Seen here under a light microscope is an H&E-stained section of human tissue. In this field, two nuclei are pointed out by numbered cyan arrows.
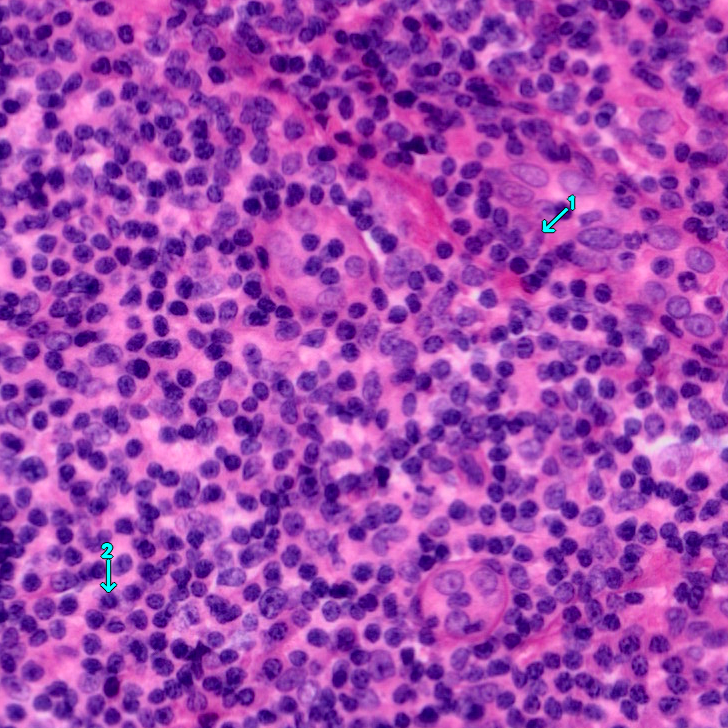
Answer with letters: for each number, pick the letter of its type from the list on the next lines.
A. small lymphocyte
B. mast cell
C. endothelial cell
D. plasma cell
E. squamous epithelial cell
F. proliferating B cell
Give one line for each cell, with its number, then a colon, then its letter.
1: C
2: A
